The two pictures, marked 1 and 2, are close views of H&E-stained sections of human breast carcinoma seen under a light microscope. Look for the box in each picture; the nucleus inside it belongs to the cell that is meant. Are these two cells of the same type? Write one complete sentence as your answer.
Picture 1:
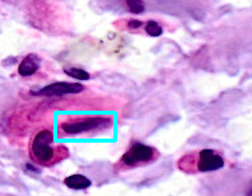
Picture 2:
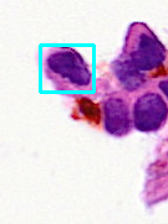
No, they differ: the cell is an endothelial cell in picture 1 and a carcinoma cell in picture 2.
